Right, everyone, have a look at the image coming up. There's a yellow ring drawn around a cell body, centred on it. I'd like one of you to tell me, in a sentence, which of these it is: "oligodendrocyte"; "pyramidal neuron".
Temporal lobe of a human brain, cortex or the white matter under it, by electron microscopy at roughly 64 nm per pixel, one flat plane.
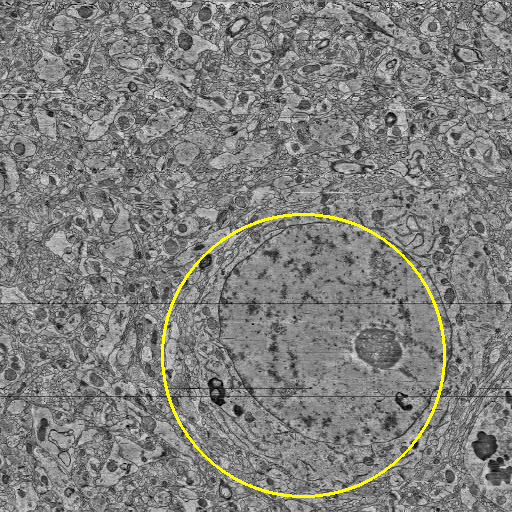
The yellow ring sits on a pyramidal neuron.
